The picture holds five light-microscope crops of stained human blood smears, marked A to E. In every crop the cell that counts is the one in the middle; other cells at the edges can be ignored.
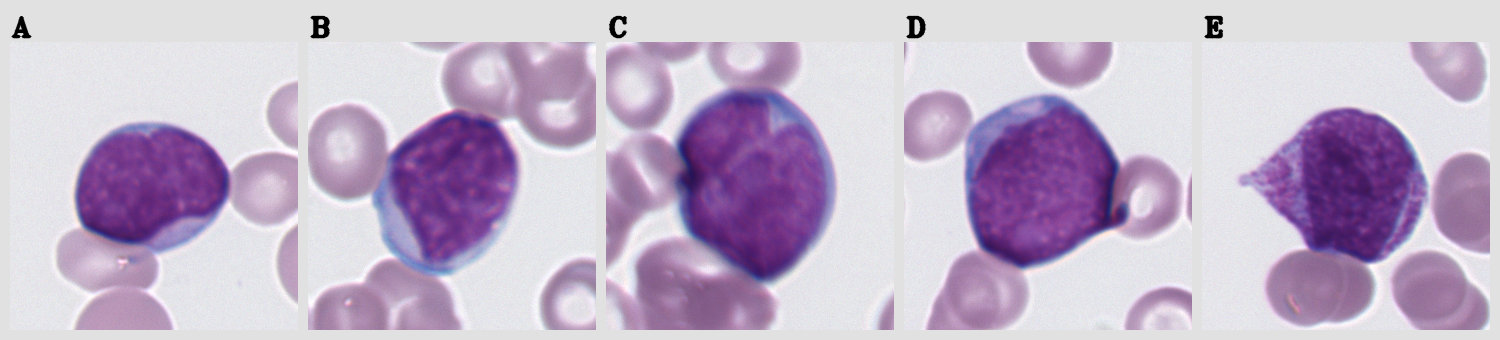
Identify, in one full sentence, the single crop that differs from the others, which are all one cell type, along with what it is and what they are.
The one crop not showing myeloblasts is crop E, which shows an atypical promyelocyte.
